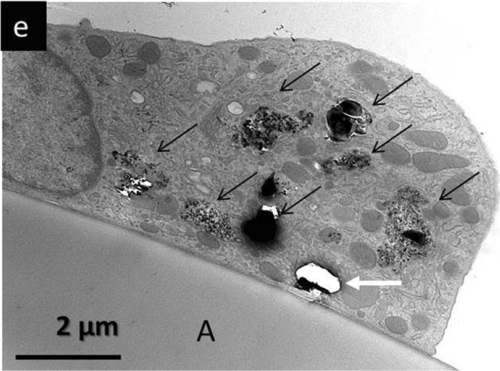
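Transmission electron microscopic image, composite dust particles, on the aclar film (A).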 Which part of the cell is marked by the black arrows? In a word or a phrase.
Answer: phagosomes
